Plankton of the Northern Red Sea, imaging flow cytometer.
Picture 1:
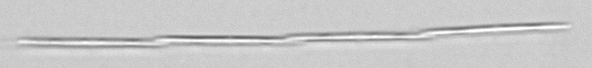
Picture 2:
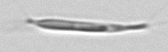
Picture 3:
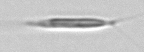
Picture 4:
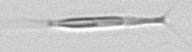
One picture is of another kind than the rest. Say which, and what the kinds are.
Picture 1 shows Pseudo-nitzschia; the rest show Calciosolenia.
